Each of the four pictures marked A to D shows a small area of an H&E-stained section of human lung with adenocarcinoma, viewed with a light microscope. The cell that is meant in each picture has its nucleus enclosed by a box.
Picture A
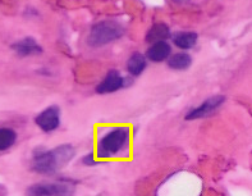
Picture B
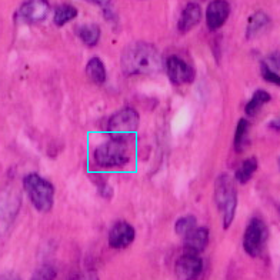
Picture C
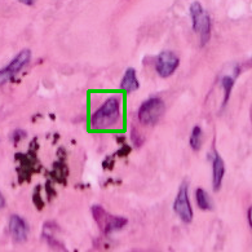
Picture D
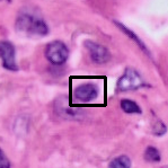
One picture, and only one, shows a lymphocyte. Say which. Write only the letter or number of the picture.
D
